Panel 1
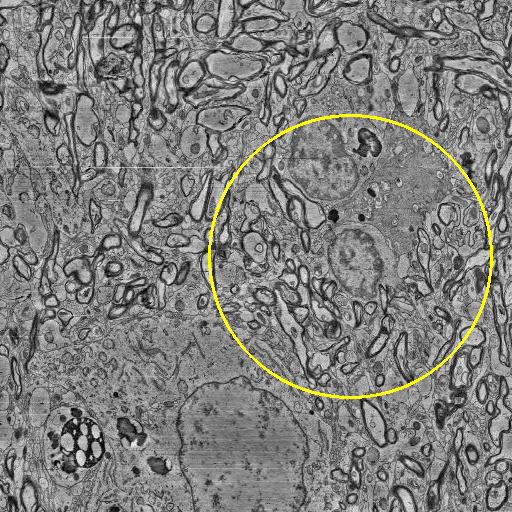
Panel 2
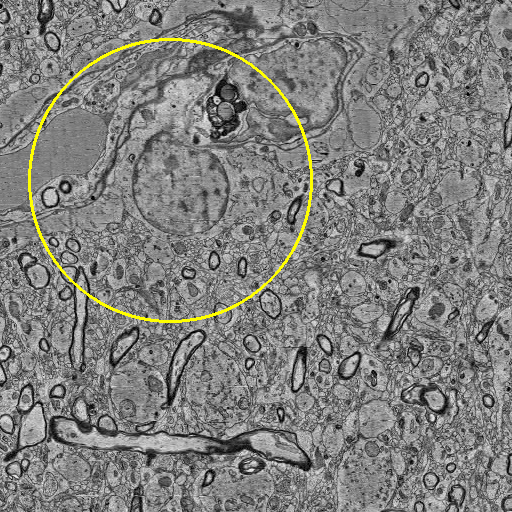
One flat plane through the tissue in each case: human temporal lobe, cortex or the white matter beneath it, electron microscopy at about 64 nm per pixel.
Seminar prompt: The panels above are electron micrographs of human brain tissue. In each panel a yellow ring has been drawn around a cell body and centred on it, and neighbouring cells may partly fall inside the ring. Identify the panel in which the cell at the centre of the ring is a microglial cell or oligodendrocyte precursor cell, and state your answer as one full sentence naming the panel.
Panel 2 has it at the centre of its ring.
